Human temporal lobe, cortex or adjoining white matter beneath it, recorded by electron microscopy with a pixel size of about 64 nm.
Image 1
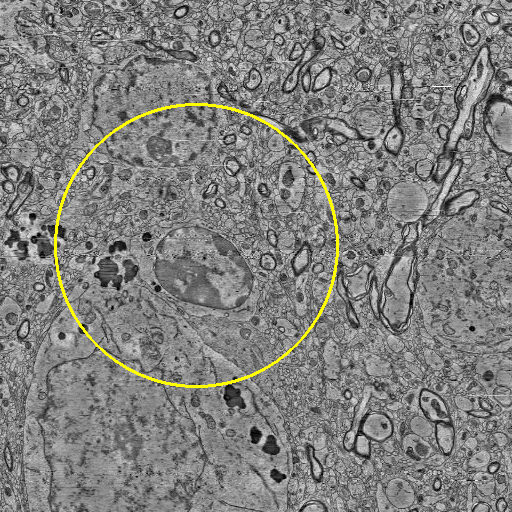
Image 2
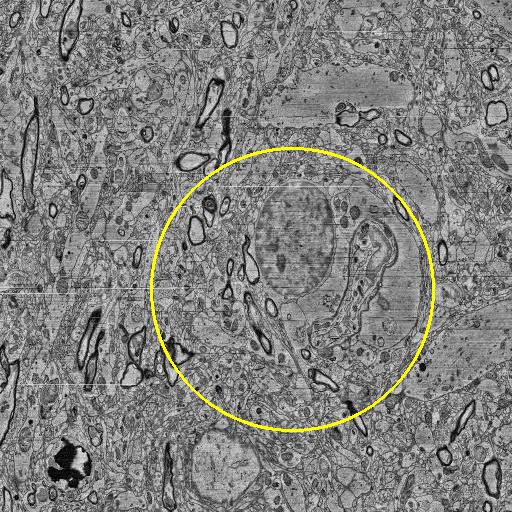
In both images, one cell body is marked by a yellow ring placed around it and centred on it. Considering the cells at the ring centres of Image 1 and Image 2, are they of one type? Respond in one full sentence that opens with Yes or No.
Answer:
No, two types apply to the ring-centred cells of Image 1 and Image 2.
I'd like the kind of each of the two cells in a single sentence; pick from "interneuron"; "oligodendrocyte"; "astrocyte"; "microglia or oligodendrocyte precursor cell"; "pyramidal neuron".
The first ring marks a microglial cell or oligodendrocyte precursor cell, and the second ring marks an oligodendrocyte.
